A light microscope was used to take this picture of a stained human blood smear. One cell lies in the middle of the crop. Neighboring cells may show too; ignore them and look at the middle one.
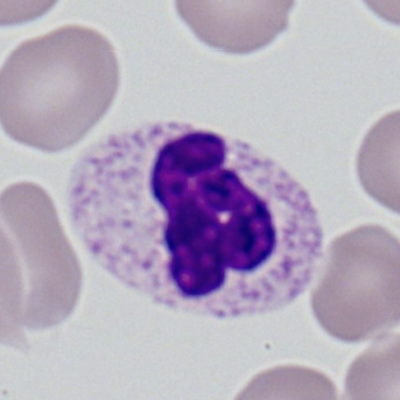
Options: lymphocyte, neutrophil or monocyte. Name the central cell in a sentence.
The middle of this crop is occupied by a neutrophil.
